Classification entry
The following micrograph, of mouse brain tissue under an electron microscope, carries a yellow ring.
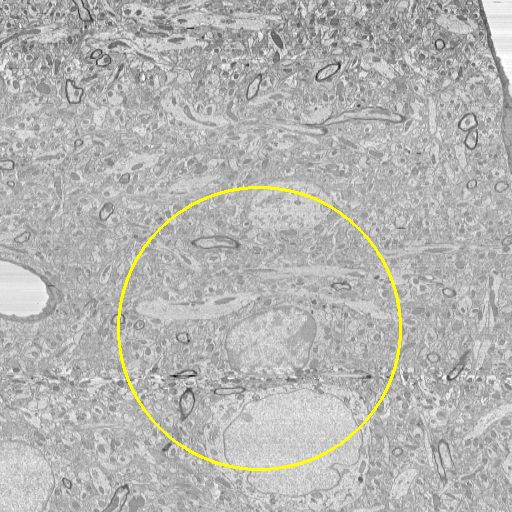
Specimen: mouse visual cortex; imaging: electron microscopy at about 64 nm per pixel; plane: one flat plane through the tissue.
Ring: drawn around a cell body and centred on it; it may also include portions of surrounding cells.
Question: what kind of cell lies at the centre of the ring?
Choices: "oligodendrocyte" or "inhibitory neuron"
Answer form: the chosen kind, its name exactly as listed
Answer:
oligodendrocyte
